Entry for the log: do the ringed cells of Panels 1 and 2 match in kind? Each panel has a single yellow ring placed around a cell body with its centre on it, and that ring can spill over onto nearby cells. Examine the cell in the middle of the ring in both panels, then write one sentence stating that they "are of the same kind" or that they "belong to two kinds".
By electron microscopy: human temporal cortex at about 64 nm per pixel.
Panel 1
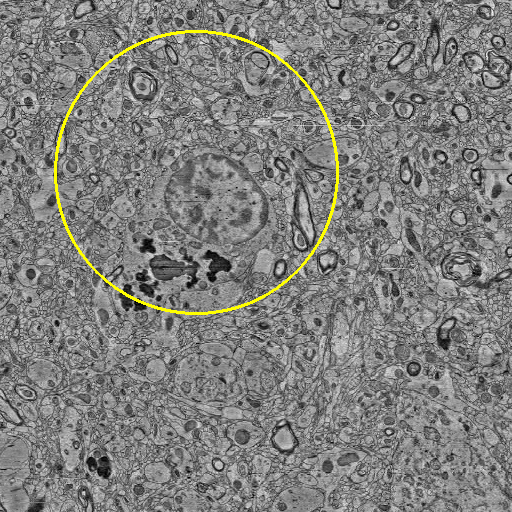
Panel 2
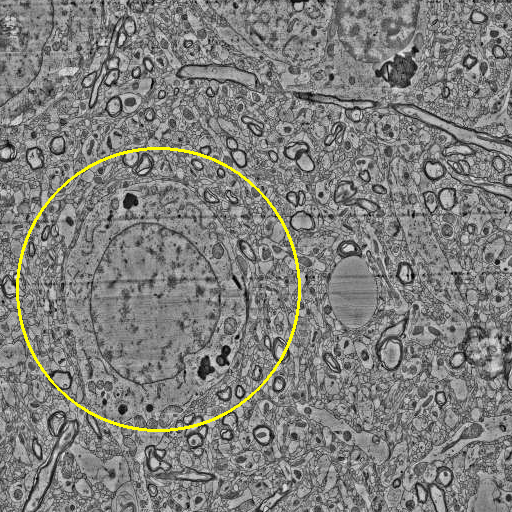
The centre cell of Panel 1's ring and that of Panel 2's ring belong to two kinds.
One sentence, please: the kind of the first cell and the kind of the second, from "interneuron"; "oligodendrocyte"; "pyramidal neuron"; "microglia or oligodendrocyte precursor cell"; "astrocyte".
The ring in the first picture surrounds an oligodendrocyte, and the ring in the second surrounds a pyramidal neuron.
